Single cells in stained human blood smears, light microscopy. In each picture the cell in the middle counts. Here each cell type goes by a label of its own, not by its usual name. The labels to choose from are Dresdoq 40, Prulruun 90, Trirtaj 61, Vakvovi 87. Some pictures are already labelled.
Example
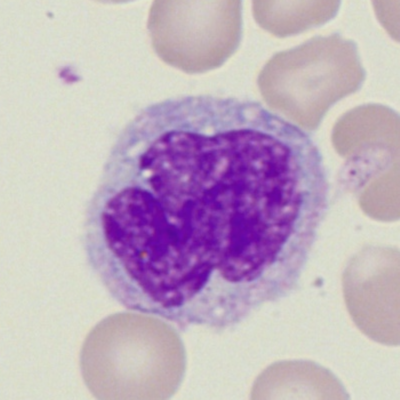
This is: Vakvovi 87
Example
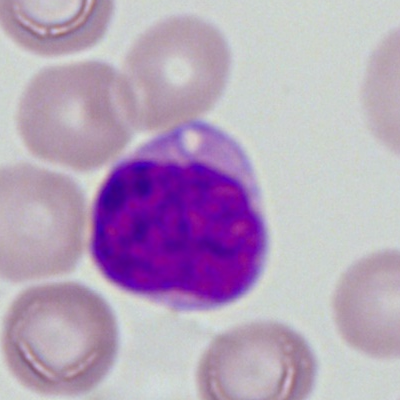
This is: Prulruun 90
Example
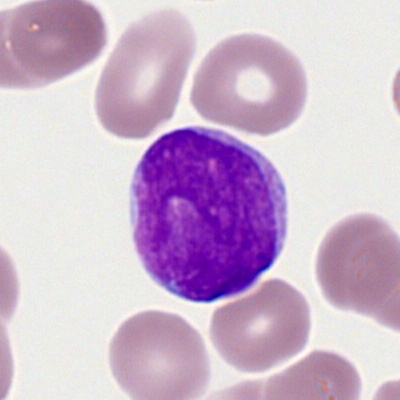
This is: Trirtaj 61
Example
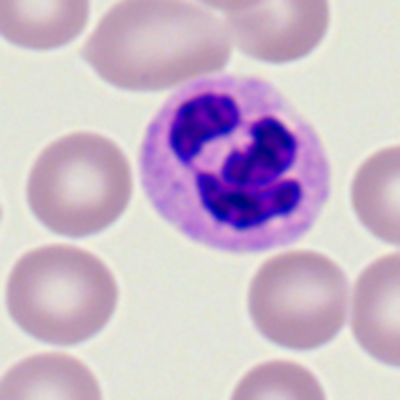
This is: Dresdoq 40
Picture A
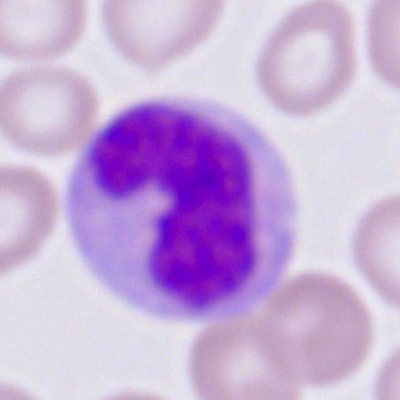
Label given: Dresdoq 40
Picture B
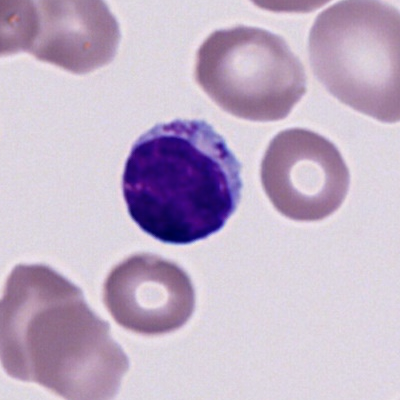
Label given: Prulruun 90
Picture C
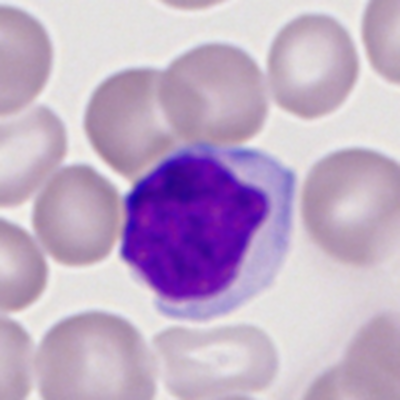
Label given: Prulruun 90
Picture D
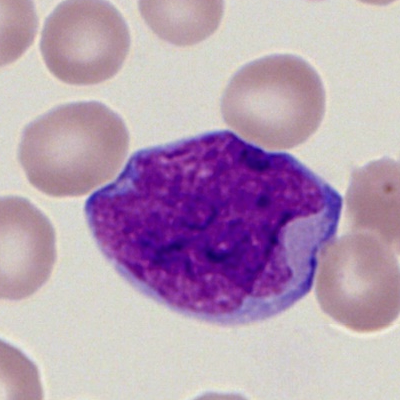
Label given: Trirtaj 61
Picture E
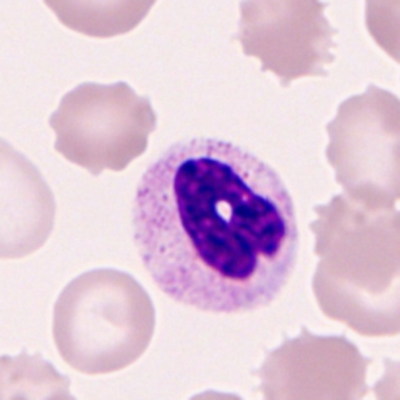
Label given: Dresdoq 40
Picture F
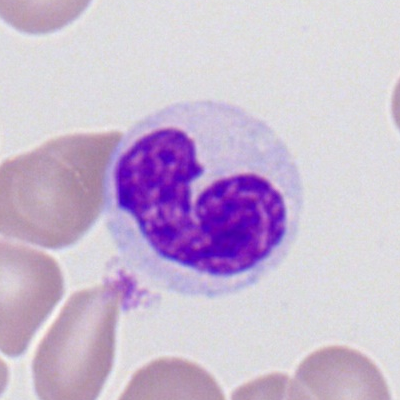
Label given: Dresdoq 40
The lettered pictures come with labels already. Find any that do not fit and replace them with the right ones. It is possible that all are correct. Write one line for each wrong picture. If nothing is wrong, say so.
A should be Vakvovi 87, not Dresdoq 40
